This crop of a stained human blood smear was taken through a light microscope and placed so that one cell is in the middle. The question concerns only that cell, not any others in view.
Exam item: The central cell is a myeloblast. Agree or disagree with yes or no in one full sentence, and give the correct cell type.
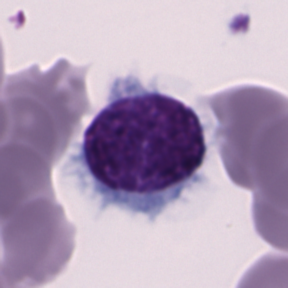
No, the central cell does not represent a myeloblast, but a hairy cell.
